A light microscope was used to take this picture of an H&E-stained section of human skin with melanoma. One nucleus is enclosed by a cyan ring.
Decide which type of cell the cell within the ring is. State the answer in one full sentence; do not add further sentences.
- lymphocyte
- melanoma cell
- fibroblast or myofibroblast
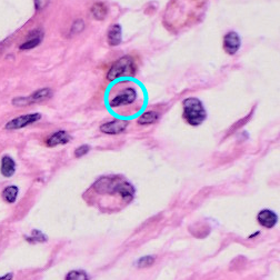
So far as cell type goes, the cell within the ring is a lymphocyte.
